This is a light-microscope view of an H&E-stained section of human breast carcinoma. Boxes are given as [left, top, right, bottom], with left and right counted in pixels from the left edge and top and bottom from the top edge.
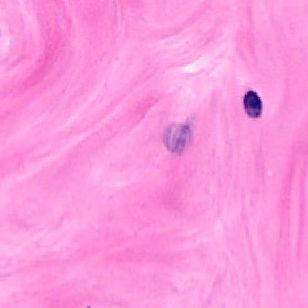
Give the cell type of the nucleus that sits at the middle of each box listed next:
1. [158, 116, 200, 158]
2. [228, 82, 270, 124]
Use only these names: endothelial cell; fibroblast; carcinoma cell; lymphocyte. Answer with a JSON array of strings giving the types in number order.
["fibroblast", "lymphocyte"]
